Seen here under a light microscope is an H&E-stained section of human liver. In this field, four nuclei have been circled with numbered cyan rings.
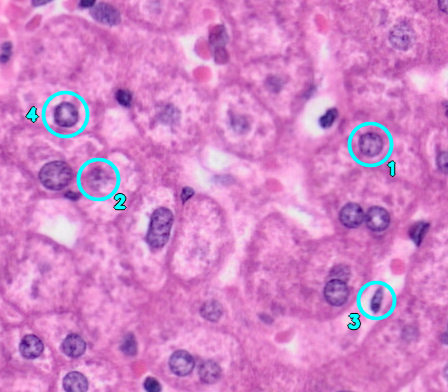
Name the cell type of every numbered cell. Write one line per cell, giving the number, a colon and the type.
1: hepatocyte
2: hepatocyte
3: lymphocyte
4: hepatocyte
